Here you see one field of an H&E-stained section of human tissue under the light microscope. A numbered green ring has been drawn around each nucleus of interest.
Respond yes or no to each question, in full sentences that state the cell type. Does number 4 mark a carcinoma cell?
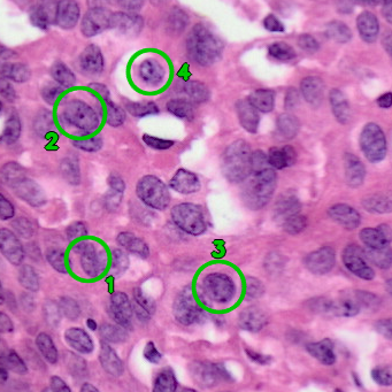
No, the cell given number 4 is a macrophage or monocyte, not a carcinoma cell.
